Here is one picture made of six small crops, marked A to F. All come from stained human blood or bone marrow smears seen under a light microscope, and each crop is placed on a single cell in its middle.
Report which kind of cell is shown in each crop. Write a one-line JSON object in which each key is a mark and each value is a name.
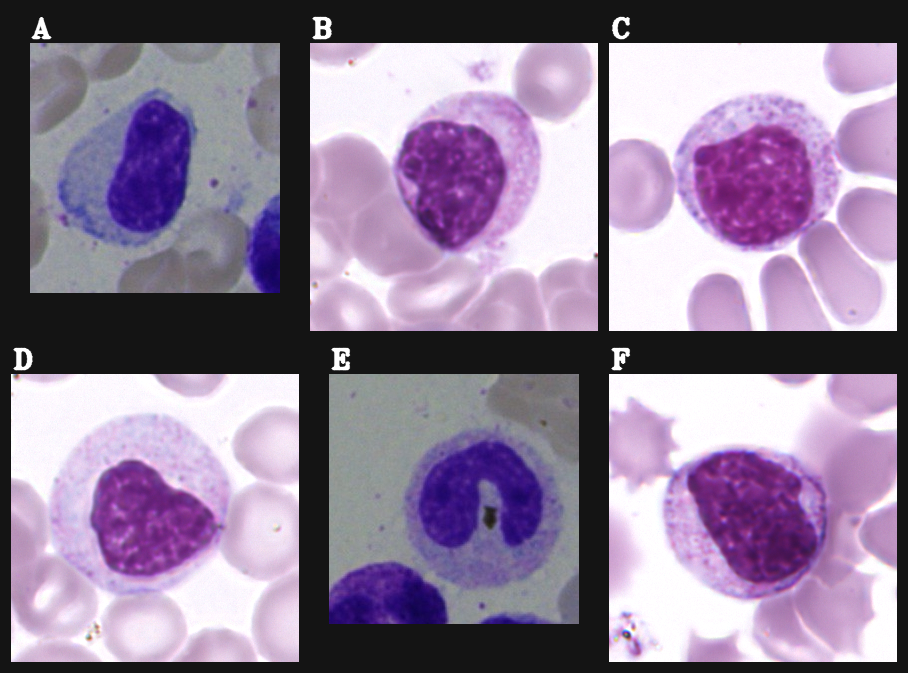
{"A": "metamyelocyte", "B": "metamyelocyte", "C": "metamyelocyte", "D": "metamyelocyte", "E": "band neutrophil", "F": "metamyelocyte"}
